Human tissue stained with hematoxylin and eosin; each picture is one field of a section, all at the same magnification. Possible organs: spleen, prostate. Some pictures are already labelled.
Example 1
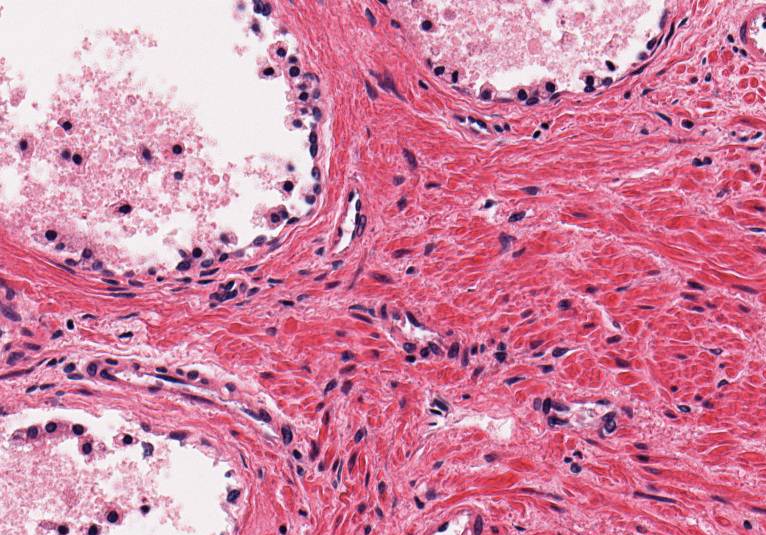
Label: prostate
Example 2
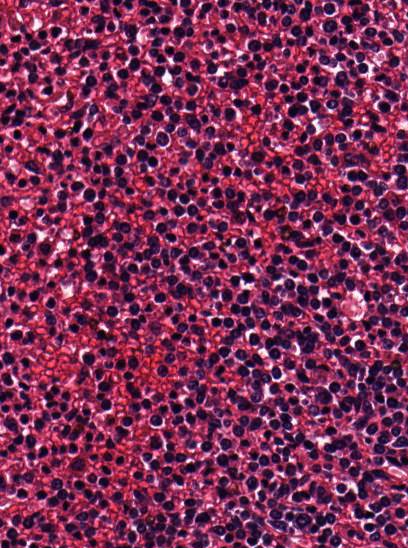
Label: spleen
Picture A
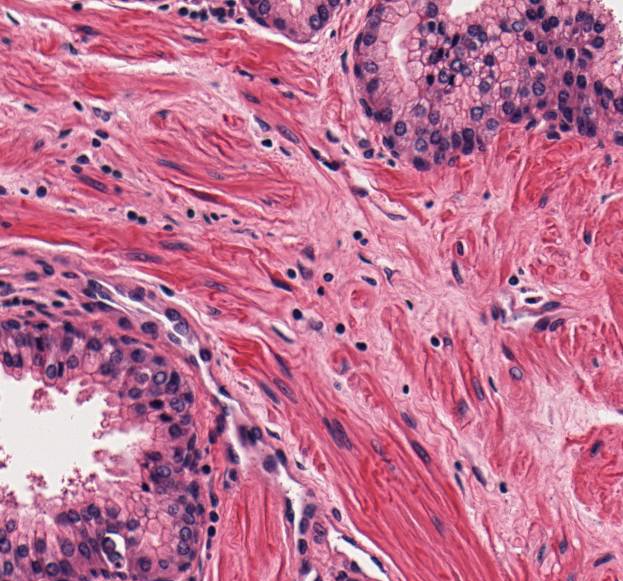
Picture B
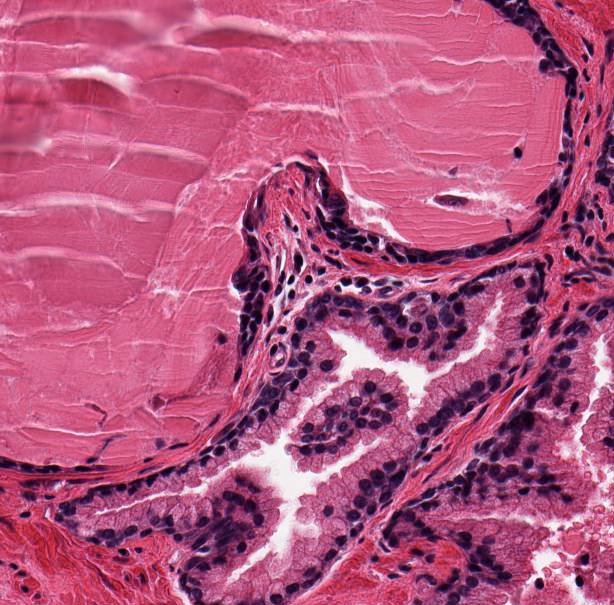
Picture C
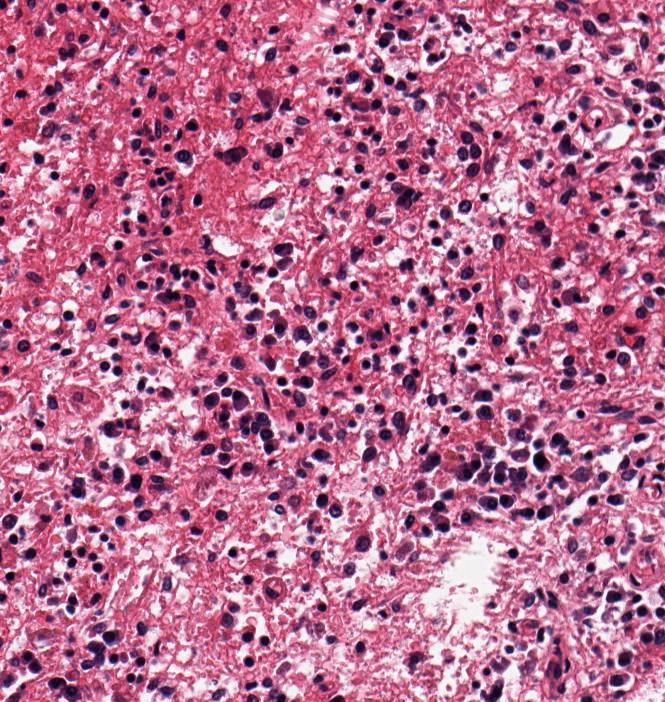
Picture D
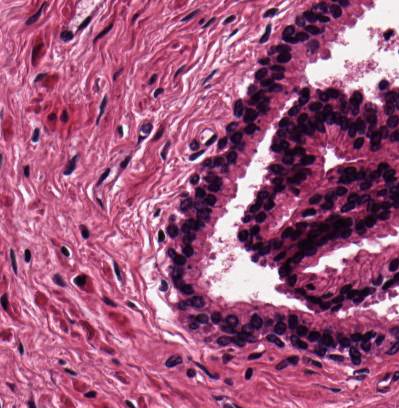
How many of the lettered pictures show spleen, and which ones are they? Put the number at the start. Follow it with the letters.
1: C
